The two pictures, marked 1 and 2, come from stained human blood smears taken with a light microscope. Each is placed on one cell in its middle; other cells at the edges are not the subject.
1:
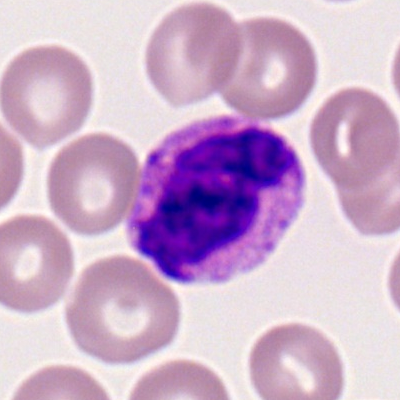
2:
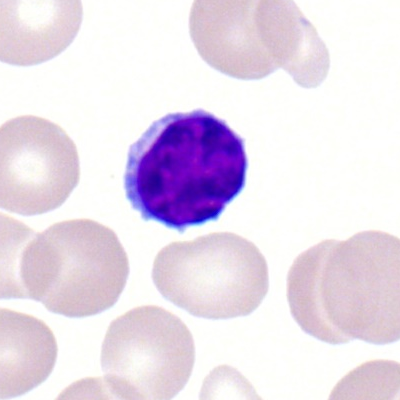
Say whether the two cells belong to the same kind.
no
